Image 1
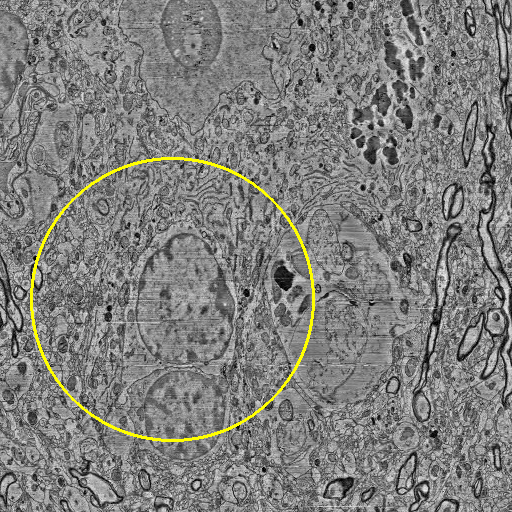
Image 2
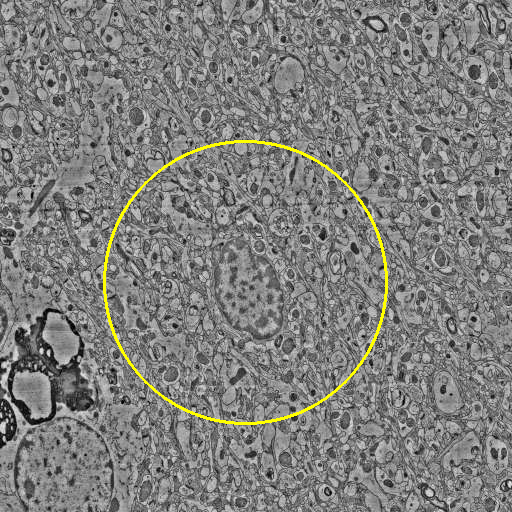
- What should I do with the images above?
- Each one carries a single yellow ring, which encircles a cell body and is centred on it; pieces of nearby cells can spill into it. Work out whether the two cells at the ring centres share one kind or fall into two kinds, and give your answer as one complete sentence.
The ring-centre cells of Image 1 and Image 2 fall into two kinds.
